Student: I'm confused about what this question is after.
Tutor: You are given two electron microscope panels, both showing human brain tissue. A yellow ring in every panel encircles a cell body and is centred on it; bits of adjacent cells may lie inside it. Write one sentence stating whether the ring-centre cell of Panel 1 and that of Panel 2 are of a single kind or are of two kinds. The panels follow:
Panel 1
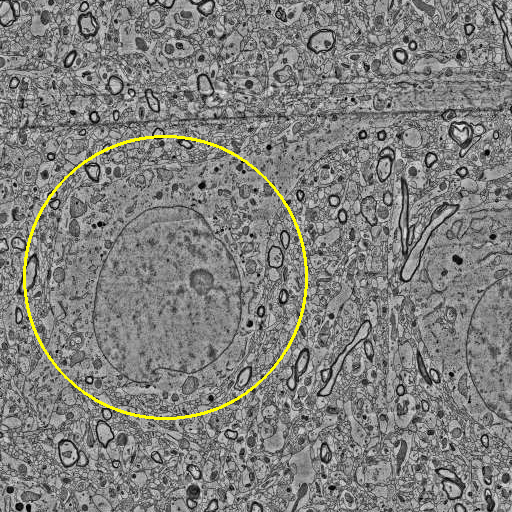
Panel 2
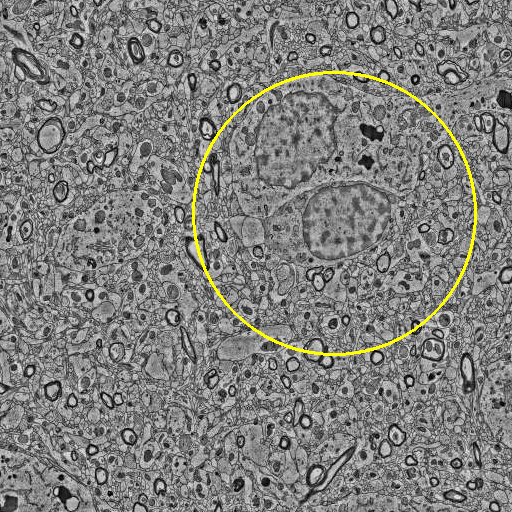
Here, the Panel 1 ring-centre cell and the Panel 2 ring-centre cell are of two kinds.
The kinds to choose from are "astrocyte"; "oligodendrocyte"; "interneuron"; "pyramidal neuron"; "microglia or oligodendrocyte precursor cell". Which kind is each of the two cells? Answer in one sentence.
Of the two, the first cell is a pyramidal neuron and the second cell is an oligodendrocyte.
